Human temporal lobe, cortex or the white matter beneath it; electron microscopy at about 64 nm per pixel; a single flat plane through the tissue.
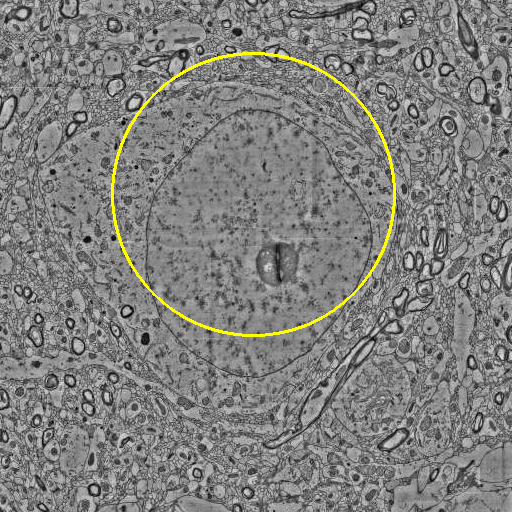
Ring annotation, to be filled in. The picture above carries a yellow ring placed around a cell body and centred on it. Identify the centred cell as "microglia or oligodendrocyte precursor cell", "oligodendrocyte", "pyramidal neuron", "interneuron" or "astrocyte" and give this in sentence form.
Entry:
The cell in the middle of the ring is a pyramidal neuron.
